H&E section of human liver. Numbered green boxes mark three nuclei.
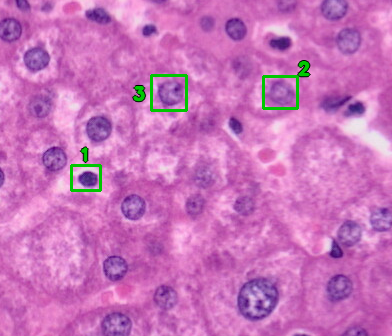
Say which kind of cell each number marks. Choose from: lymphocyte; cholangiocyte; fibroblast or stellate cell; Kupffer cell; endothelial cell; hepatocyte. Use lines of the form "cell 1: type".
cell 1: lymphocyte
cell 2: hepatocyte
cell 3: hepatocyte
